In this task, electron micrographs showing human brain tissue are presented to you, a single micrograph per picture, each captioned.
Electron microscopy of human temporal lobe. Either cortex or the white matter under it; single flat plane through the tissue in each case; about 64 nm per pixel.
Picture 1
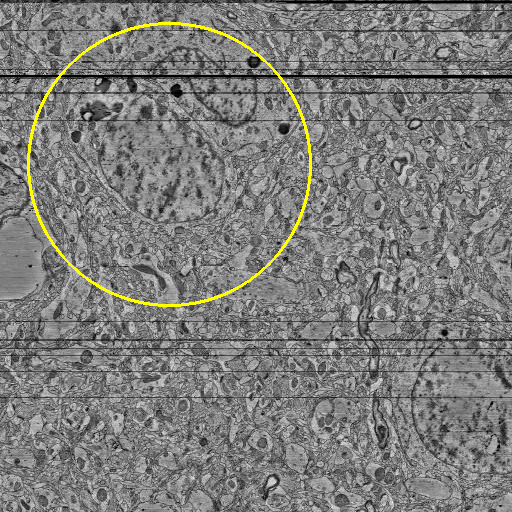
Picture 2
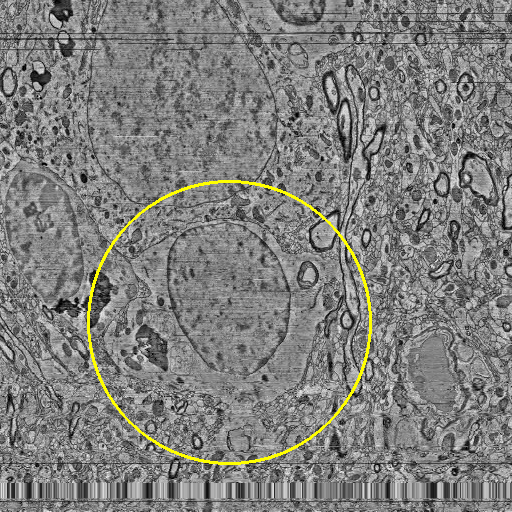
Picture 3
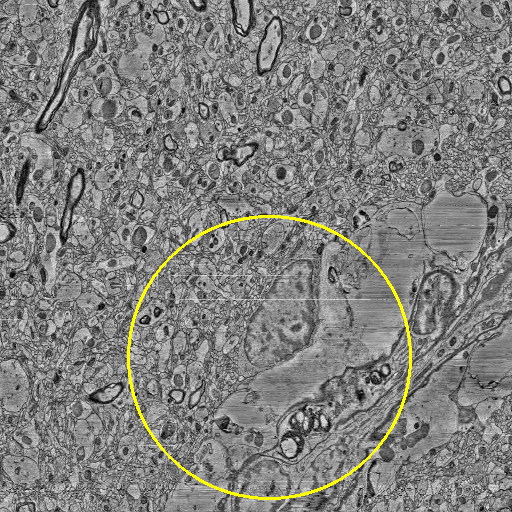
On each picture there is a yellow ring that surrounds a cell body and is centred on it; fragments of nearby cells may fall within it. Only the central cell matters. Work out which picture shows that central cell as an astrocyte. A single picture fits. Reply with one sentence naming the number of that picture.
Of all the pictures, number 2 has the right cell in the centre of its ring.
